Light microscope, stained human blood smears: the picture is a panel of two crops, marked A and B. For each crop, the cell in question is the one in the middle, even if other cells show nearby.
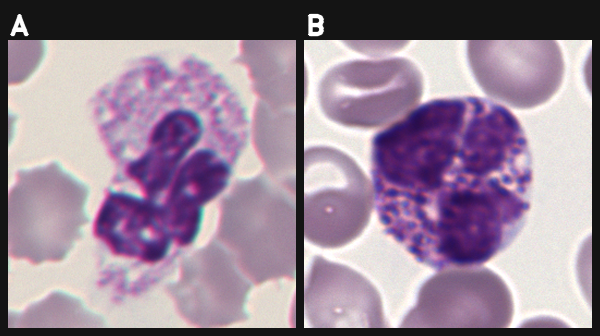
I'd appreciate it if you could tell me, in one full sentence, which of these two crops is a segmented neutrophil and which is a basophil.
Crop A is classified as a segmented neutrophil, and crop B as a basophil.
